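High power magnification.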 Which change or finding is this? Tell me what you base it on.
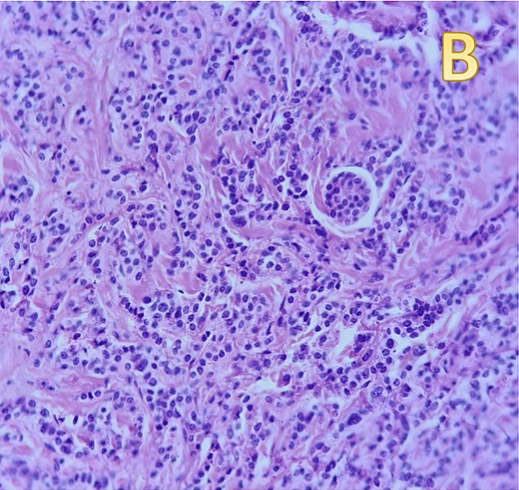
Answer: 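Well-differentiated neuroendocrine tumor. Monotonous cells arranged in nests and cords. Cell groups separated by thin pink fibrous stroma. Small round uniform nuclei.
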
